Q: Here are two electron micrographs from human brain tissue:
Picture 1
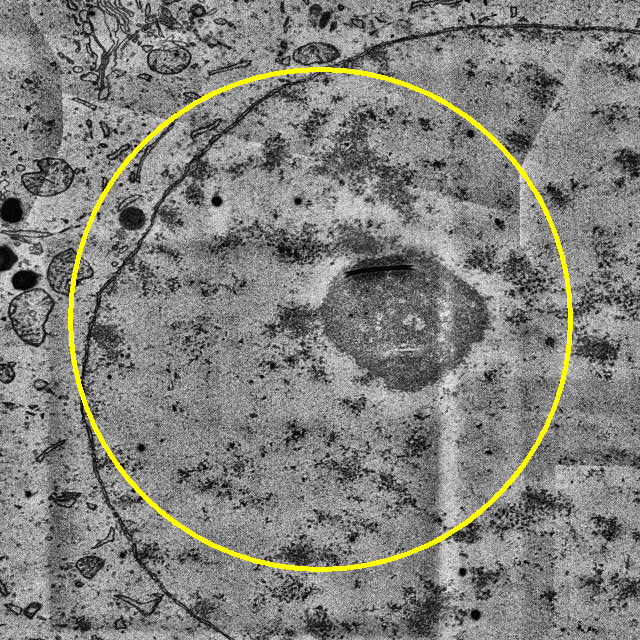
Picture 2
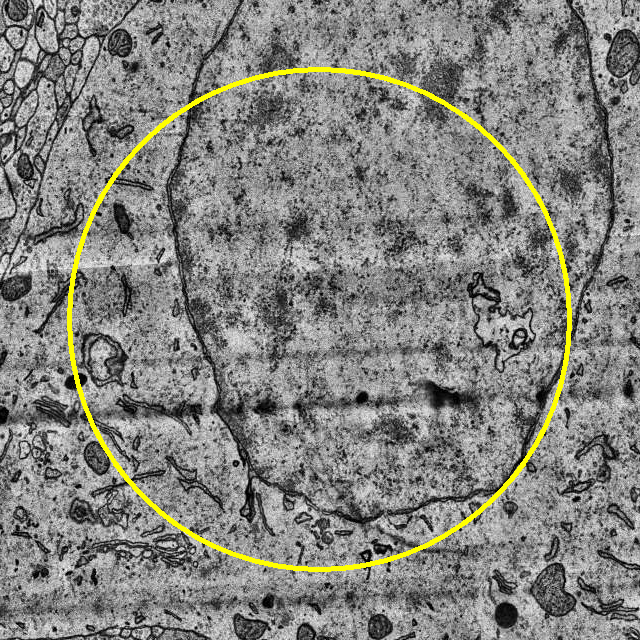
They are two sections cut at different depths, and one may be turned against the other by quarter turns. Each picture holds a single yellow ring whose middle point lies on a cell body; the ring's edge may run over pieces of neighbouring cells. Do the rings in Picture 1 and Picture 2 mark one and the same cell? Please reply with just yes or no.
no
